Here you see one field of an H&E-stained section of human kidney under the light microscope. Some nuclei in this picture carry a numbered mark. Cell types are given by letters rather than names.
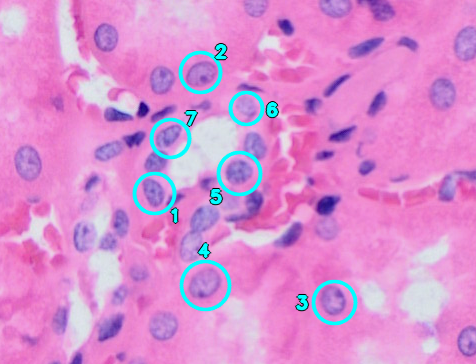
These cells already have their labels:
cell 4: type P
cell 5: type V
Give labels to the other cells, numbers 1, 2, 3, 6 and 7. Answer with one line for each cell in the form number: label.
1: type V
2: type P
3: type P
6: type V
7: type V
